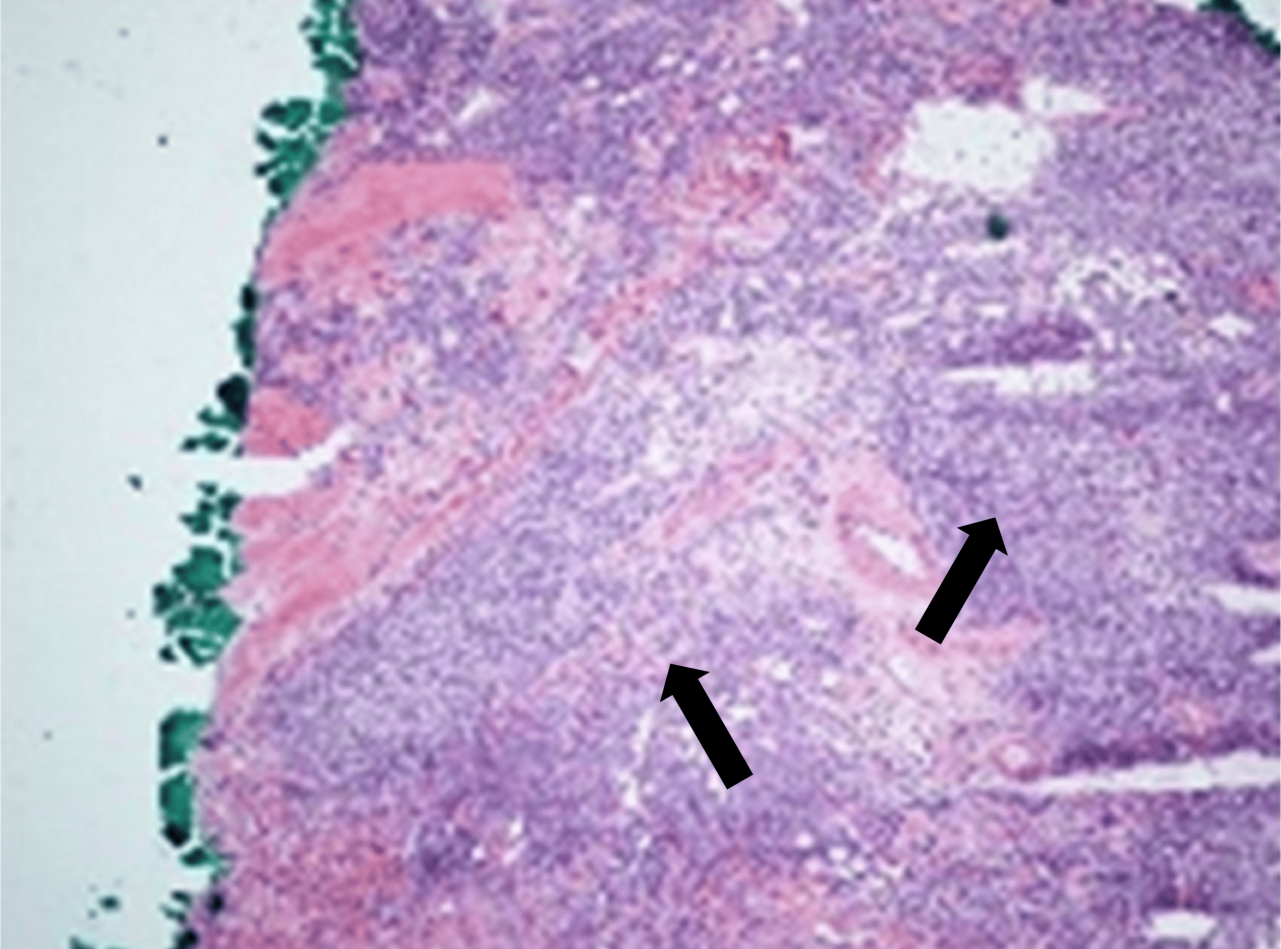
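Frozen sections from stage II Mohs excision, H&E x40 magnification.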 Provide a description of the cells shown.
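Bands of pink collagen and a small vessel with a pink wall run through the infiltrate. Green ink lines the tissue edge on the left, and white clefts cross the section.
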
